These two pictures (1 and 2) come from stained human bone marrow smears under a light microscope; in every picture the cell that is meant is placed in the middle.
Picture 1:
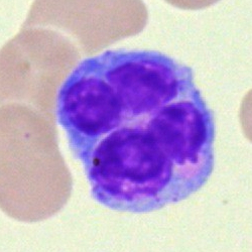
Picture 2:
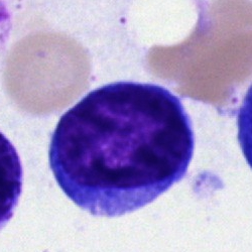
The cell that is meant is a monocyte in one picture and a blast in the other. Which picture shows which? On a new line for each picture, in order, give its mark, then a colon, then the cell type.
1: monocyte
2: blast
